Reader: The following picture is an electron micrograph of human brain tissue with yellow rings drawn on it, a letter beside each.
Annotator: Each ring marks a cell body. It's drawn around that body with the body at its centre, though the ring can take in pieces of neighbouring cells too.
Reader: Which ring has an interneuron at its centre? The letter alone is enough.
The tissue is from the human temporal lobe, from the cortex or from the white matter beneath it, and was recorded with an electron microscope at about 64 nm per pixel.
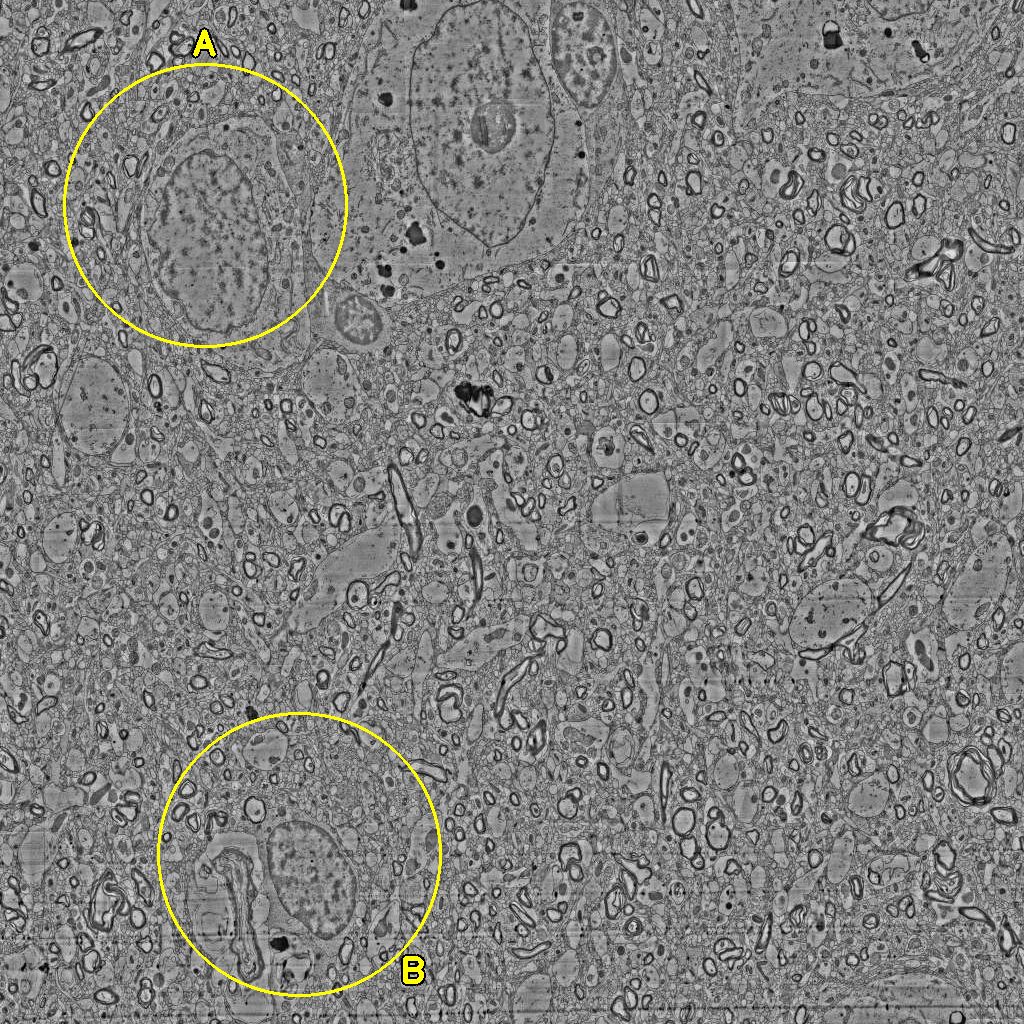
A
